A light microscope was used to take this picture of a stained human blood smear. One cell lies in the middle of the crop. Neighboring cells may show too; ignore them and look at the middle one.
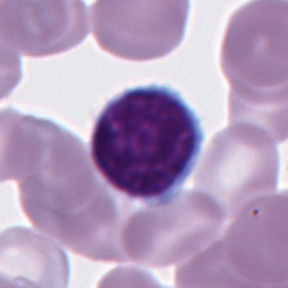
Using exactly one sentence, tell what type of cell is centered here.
Whatever else lies nearby, the middle cell is a typical lymphocyte.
